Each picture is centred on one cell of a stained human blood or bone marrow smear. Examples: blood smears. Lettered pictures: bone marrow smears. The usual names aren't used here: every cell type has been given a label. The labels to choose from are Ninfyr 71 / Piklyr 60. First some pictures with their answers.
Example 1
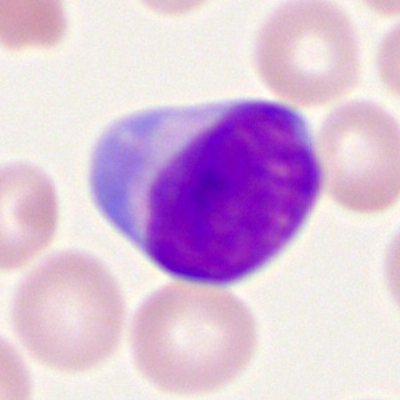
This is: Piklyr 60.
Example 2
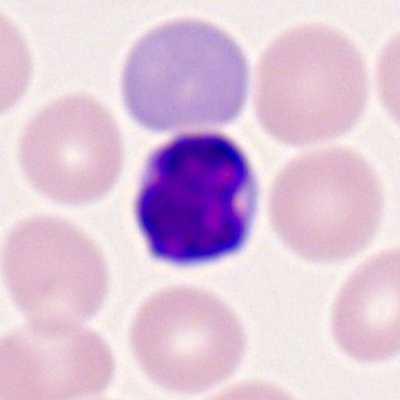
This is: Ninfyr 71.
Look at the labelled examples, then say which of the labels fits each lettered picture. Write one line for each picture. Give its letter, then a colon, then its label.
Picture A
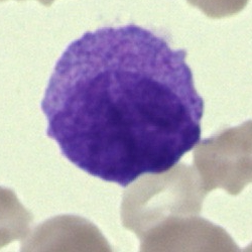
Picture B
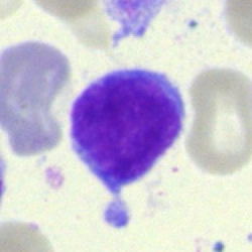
A: Piklyr 60.
B: Ninfyr 71.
